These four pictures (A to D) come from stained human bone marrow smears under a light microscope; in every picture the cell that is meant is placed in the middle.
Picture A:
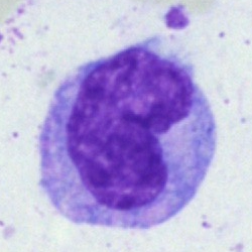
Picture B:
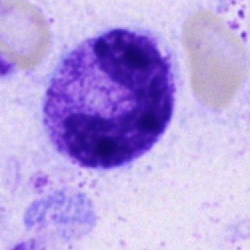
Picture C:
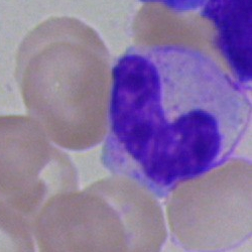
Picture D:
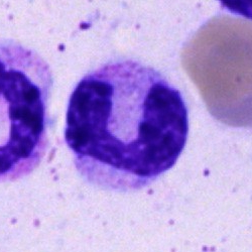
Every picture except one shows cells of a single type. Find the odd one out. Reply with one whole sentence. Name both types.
Picture A differs, because its cell is a monocyte and the rest are band neutrophils.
